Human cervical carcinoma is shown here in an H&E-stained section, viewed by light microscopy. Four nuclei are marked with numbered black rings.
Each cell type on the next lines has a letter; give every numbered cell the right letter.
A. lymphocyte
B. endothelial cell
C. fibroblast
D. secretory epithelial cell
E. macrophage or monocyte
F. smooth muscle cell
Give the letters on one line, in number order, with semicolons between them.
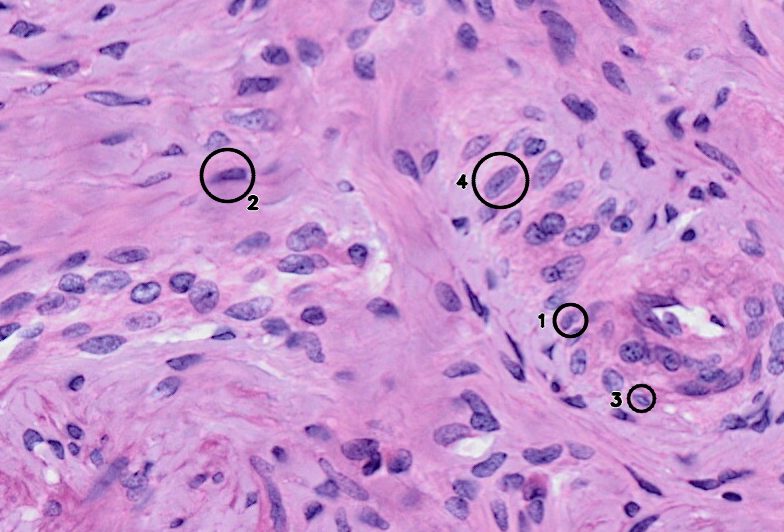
F; C; F; F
